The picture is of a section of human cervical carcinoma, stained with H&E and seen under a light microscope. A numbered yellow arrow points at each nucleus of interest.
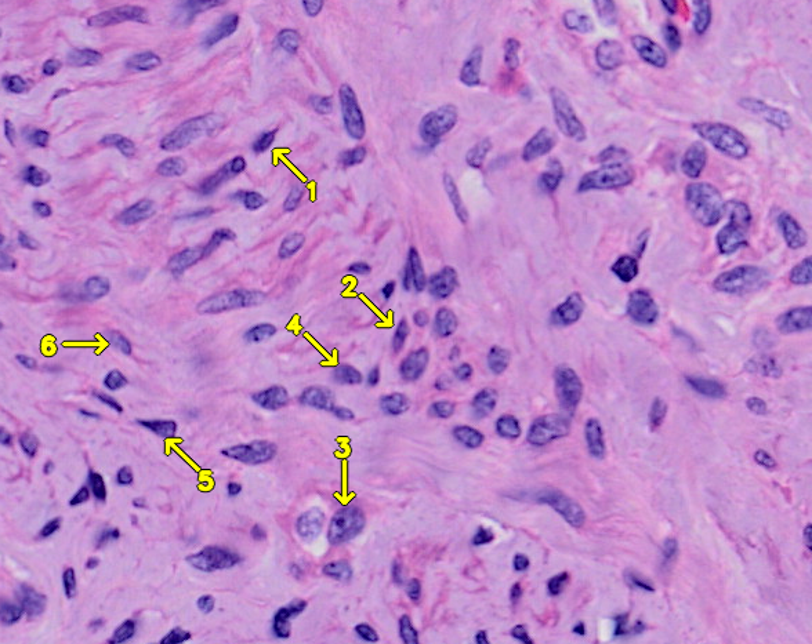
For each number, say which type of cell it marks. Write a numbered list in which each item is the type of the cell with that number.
1. smooth muscle cell
2. smooth muscle cell
3. endothelial cell
4. smooth muscle cell
5. fibroblast
6. smooth muscle cell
